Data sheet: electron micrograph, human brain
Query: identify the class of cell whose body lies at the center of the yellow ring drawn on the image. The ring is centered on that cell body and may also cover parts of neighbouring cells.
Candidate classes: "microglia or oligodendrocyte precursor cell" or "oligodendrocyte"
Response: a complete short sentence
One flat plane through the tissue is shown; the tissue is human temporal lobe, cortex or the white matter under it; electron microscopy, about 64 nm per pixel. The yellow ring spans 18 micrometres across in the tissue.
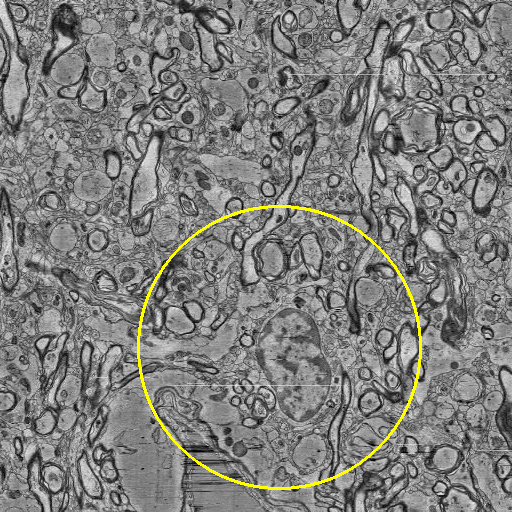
At the center of the ring lies a microglial cell or oligodendrocyte precursor cell.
